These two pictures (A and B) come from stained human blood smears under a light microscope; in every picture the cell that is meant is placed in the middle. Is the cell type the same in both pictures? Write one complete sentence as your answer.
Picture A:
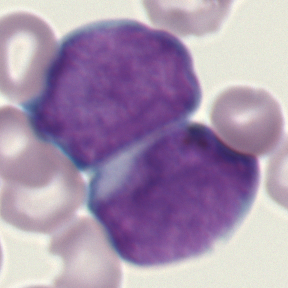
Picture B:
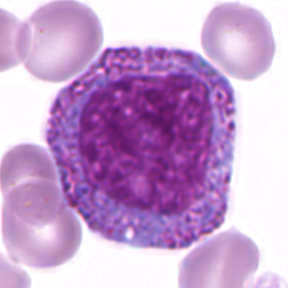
No, the types are not the same, since picture A shows a myeloblast and picture B a promyelocyte.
